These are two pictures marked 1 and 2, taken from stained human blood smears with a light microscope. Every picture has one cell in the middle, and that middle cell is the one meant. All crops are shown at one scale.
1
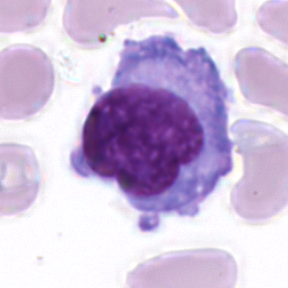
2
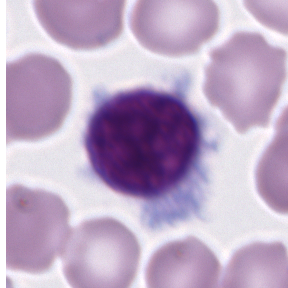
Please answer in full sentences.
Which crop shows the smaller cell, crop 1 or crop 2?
It is the cell in crop 2; the cell in crop 1 has about 1.5 times its area.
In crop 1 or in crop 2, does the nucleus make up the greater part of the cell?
It is the cell in crop 2 that is filled more by its nucleus.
